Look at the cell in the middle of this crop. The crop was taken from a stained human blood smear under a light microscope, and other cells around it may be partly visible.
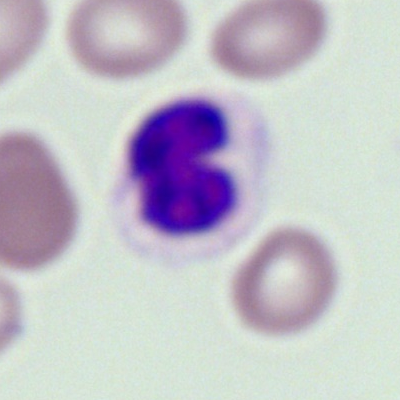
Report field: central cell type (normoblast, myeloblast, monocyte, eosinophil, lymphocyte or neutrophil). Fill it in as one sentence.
The cell that lies at the centre of the crop is a neutrophil.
